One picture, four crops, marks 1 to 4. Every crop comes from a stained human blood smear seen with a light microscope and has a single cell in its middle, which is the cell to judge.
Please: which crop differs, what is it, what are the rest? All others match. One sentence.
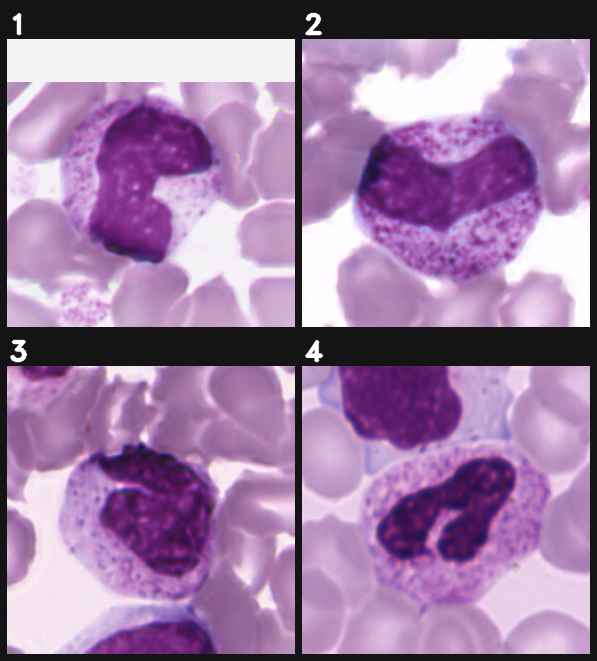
Identified in crop 4 is a segmented neutrophil, whereas the other crops all show band neutrophils.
